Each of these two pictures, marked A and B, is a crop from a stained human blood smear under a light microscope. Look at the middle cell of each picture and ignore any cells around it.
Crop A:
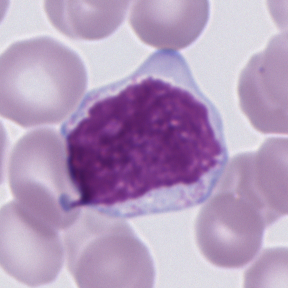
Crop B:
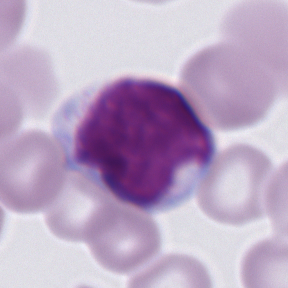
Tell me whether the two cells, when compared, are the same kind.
yes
